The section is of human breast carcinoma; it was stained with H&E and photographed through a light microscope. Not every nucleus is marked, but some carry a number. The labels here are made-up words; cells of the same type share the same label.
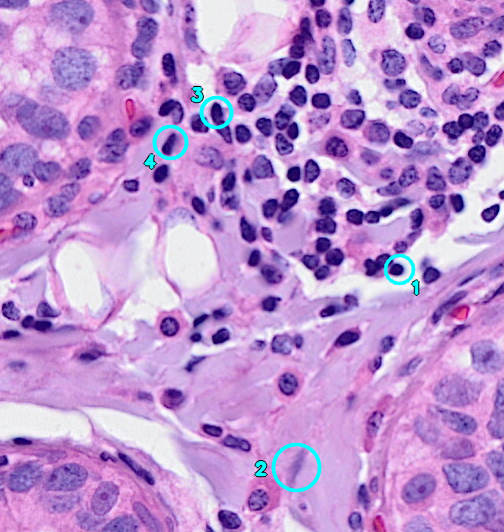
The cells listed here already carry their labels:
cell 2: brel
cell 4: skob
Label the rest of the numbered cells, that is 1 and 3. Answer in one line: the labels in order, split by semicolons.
skob; skob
